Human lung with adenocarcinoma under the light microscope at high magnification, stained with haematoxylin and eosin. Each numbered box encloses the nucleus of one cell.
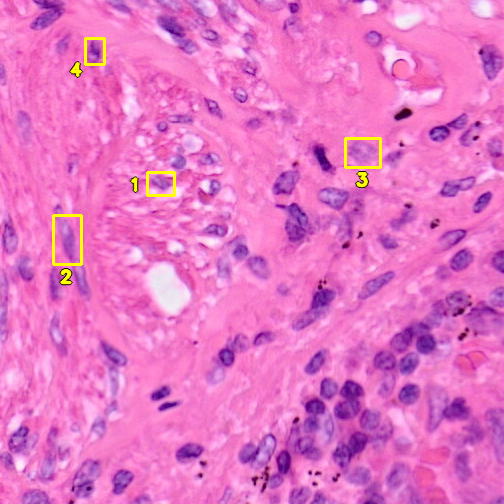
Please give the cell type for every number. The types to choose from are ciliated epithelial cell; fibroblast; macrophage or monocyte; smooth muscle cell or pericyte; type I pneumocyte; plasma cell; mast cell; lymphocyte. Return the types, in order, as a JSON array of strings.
["smooth muscle cell or pericyte", "smooth muscle cell or pericyte", "fibroblast", "smooth muscle cell or pericyte"]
